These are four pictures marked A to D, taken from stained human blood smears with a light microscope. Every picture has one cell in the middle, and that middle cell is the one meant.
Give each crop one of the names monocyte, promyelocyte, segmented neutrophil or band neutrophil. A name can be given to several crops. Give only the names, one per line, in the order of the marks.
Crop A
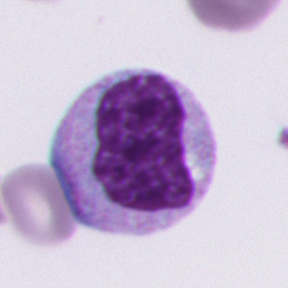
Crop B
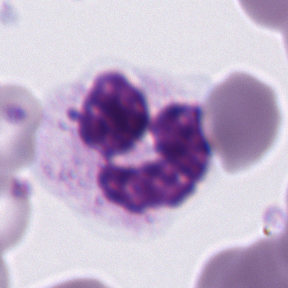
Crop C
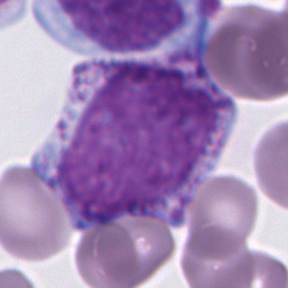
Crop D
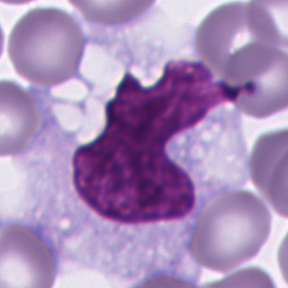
monocyte
segmented neutrophil
promyelocyte
monocyte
